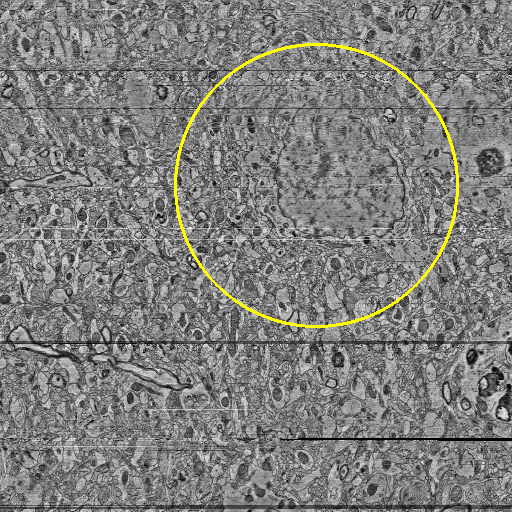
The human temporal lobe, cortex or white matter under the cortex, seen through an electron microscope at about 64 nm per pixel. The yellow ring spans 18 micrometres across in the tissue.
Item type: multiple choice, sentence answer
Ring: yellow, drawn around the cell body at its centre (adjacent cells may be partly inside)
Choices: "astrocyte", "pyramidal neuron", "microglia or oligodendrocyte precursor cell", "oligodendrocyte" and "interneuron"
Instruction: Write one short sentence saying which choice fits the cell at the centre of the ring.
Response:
This ring is drawn around an interneuron.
